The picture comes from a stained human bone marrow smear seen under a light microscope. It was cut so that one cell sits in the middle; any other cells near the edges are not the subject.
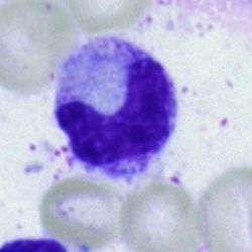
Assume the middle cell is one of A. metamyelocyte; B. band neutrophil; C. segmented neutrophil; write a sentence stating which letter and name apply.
The central cell in this crop is a band neutrophil, so the correct choice is option B.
